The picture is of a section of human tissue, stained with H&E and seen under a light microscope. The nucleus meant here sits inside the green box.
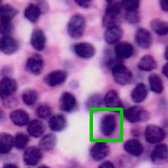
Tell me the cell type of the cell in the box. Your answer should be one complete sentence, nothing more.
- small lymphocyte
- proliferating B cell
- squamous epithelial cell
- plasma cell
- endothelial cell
The classification of the cell in the box is as a small lymphocyte.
